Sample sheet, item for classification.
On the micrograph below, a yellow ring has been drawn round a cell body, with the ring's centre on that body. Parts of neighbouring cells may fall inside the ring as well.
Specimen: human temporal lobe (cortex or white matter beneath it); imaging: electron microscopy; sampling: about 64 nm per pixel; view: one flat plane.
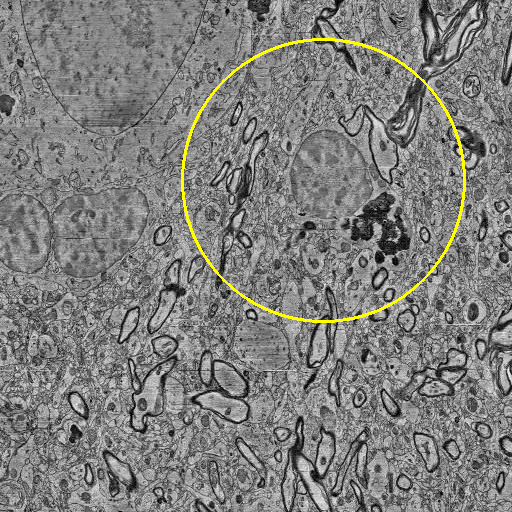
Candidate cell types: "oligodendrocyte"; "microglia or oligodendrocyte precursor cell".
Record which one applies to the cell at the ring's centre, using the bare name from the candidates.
oligodendrocyte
